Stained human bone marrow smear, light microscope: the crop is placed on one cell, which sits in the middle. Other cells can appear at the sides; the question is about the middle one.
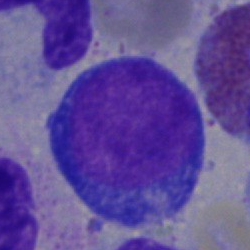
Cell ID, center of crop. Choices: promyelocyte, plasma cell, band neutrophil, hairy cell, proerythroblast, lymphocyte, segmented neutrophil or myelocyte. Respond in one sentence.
This crop's central cell is a proerythroblast.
